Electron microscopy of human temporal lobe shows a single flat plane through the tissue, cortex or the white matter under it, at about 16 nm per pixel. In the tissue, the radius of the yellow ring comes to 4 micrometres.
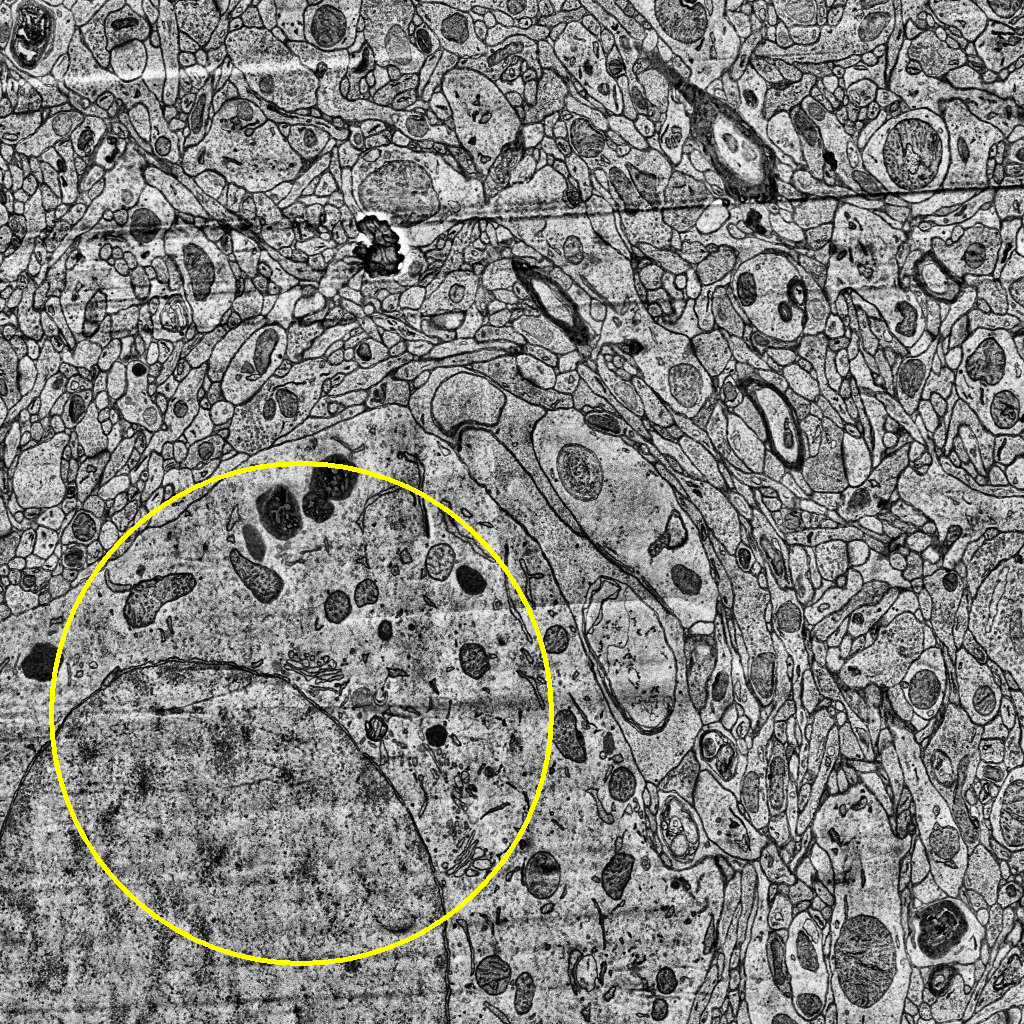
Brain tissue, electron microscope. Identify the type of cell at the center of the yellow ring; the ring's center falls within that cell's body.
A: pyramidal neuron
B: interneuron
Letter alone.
A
